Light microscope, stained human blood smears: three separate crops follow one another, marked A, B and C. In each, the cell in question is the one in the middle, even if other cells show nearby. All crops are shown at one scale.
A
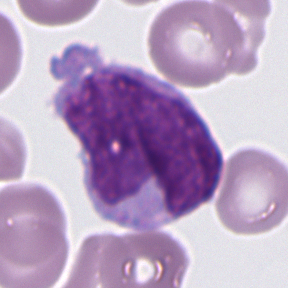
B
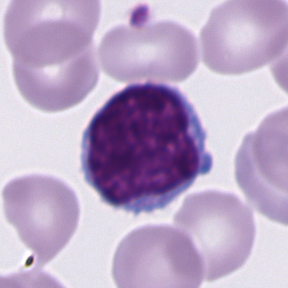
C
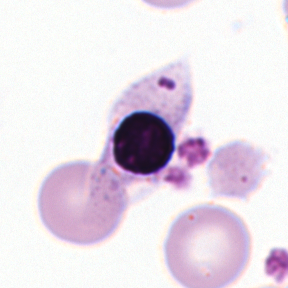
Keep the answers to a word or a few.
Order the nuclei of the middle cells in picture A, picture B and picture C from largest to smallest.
A, B, C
